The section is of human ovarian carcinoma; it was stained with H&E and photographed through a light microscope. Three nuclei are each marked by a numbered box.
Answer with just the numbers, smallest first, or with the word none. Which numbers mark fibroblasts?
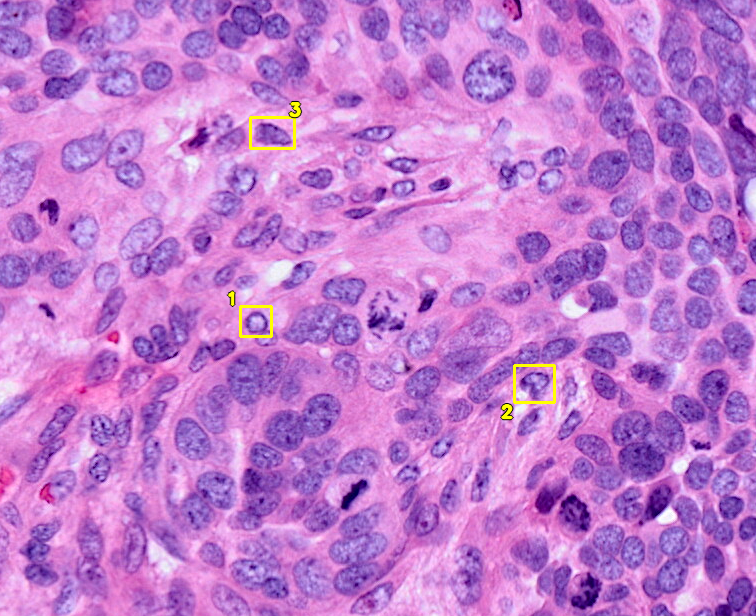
1, 2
